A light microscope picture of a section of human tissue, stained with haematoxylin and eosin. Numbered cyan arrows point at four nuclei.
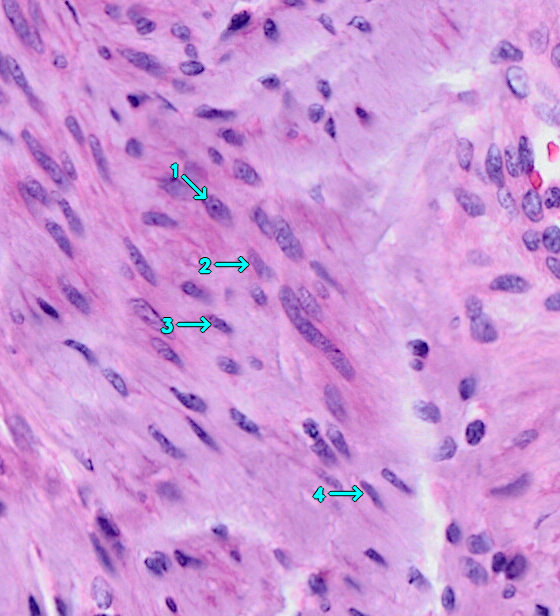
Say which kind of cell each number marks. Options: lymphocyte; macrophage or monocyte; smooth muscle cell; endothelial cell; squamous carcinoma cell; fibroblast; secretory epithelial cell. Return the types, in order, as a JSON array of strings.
["smooth muscle cell", "smooth muscle cell", "smooth muscle cell", "fibroblast"]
